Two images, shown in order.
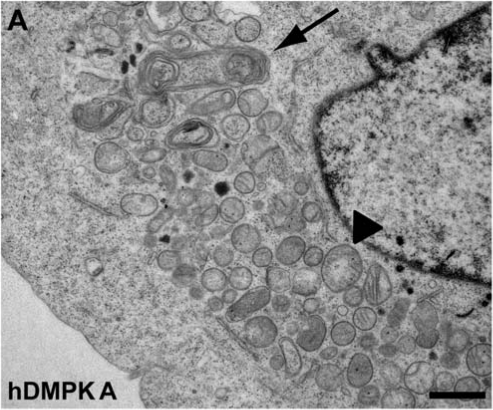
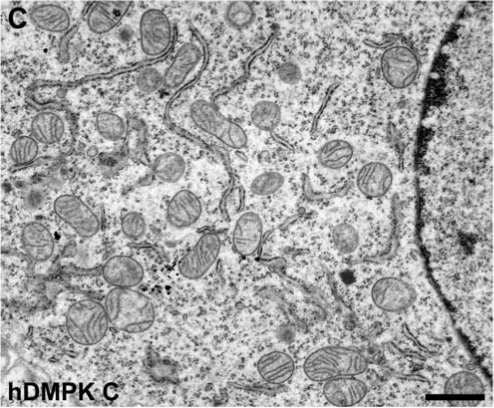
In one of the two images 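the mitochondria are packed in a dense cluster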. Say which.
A: The first image.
